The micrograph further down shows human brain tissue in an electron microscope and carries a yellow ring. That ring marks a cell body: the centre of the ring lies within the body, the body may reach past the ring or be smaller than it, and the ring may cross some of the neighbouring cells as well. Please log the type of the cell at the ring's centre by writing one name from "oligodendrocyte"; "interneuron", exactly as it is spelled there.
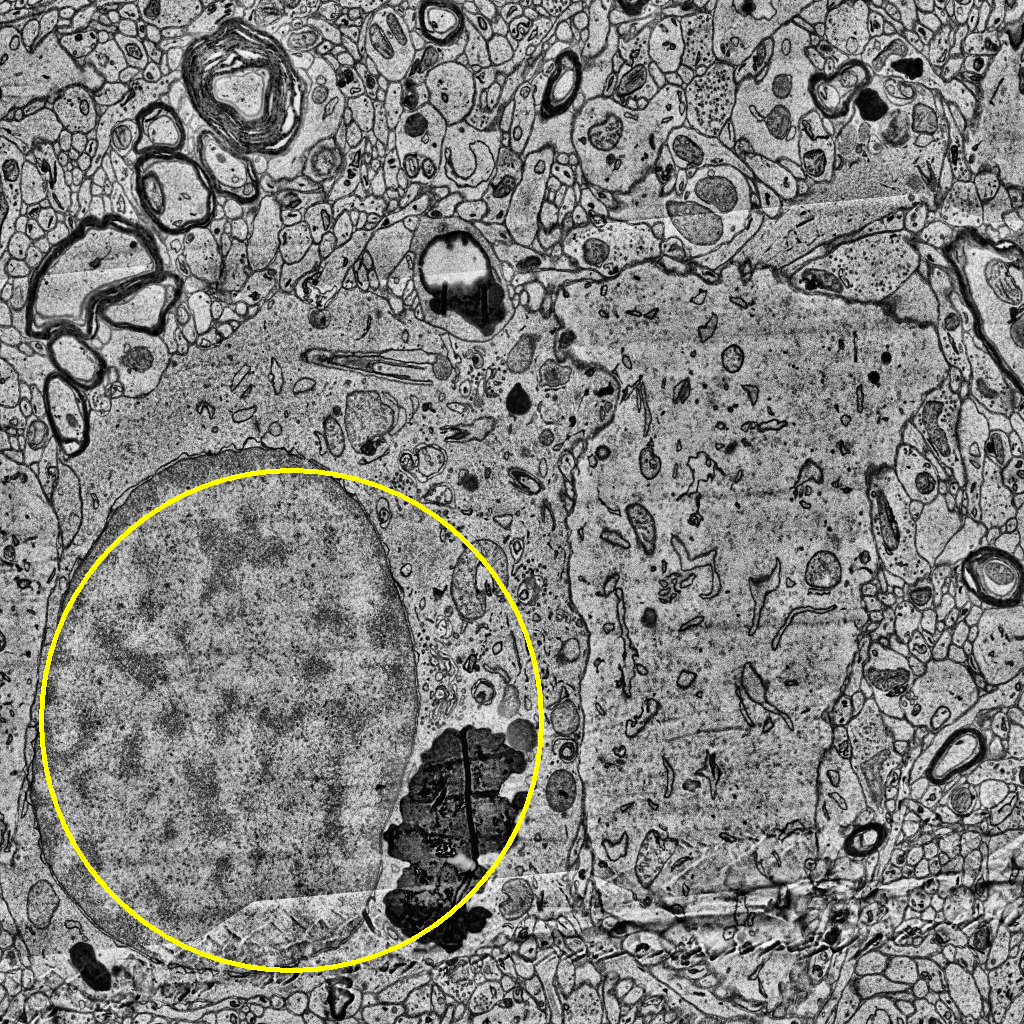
oligodendrocyte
